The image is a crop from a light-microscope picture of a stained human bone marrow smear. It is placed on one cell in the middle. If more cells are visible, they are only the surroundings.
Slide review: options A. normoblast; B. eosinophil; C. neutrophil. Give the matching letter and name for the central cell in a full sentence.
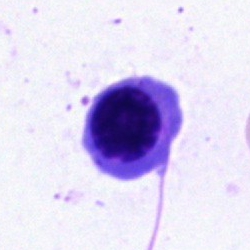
Here the right option is A, as the cell in the middle is a normoblast.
